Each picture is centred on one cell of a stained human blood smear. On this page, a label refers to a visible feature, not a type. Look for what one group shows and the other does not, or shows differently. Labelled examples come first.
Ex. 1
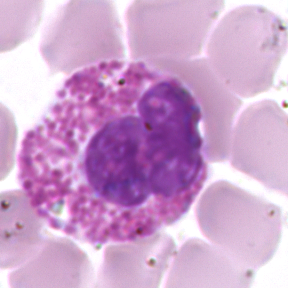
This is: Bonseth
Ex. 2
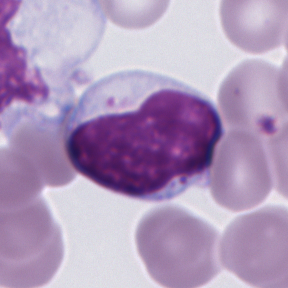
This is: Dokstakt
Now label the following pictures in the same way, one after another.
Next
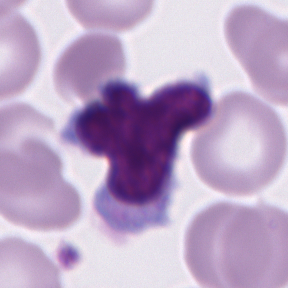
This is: Bonseth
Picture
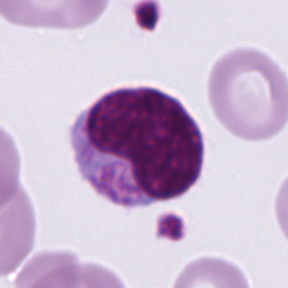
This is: Dokstakt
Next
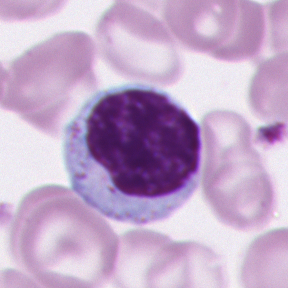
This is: Dokstakt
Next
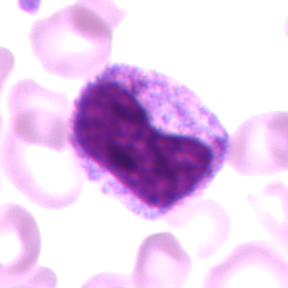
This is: Dokstakt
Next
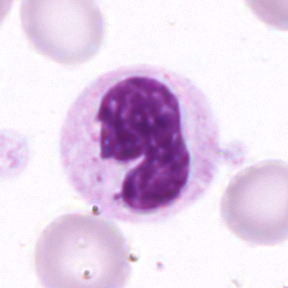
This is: Dokstakt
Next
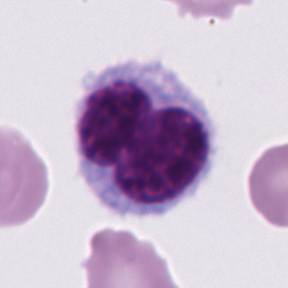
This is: Bonseth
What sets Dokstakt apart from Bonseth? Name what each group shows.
Seen in Dokstakt: single compact nucleus; seen in Bonseth: lobed nucleus.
